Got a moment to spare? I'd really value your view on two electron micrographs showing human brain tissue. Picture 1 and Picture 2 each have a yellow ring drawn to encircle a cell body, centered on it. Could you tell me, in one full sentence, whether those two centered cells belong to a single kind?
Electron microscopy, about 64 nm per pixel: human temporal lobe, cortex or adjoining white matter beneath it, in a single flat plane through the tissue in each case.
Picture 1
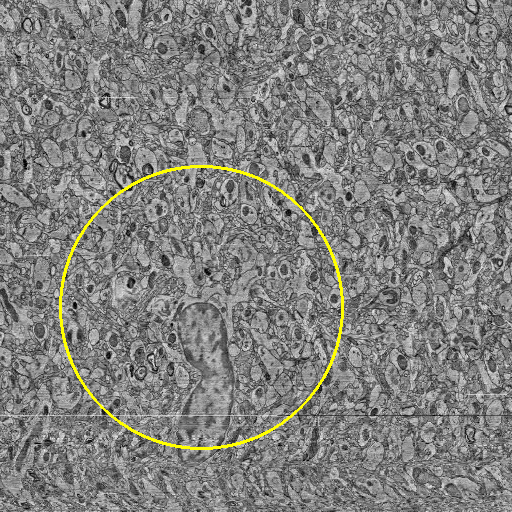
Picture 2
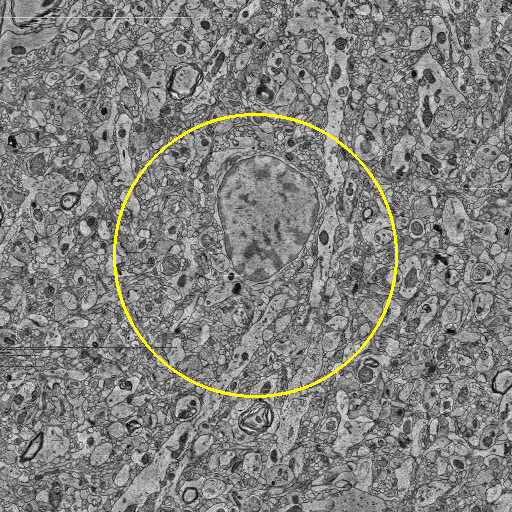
Yes, the two centered cells in Picture 1 and Picture 2 are of a single kind.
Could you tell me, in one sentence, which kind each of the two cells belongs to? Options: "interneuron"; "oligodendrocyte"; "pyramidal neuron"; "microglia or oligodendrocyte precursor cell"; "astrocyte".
Both cells are the same kind, each one being a microglial cell or oligodendrocyte precursor cell.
